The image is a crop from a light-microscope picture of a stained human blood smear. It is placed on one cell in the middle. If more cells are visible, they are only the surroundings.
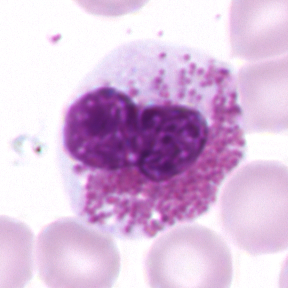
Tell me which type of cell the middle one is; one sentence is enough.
The cell at the centre of the field is an eosinophil.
